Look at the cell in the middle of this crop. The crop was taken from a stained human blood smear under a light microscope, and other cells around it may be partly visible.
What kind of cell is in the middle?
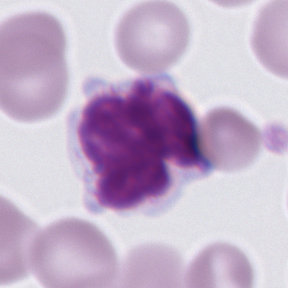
large granular lymphocyte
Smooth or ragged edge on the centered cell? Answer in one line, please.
The perimeter of the cell is irregular, with ragged sections or outward projections.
